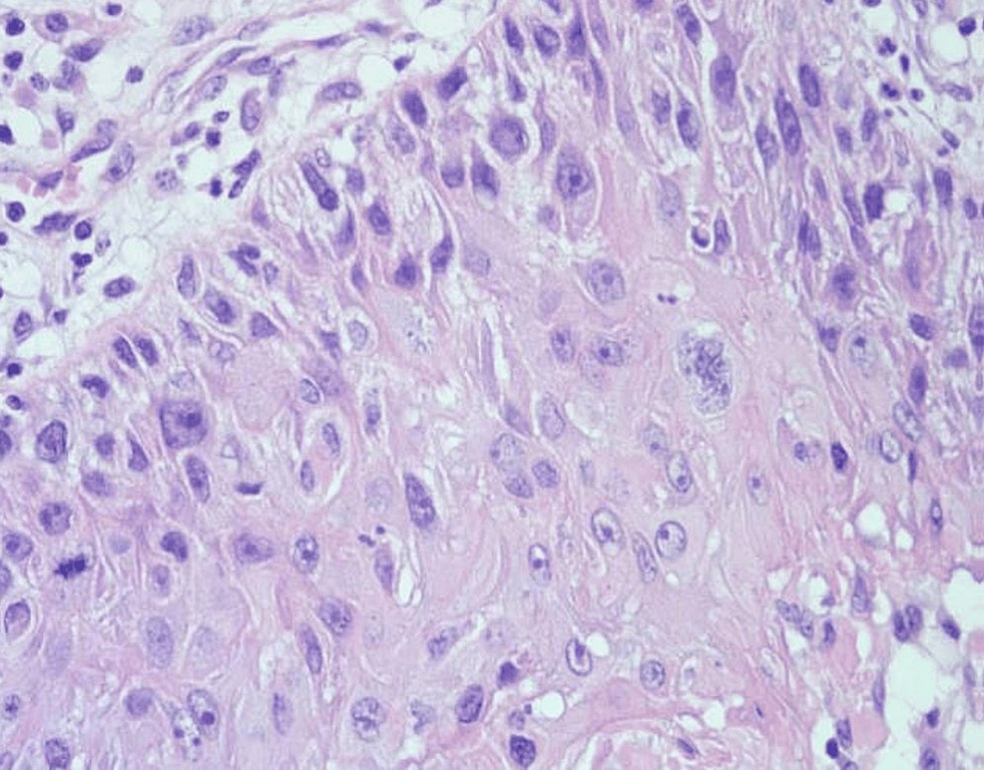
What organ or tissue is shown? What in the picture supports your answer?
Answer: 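Squamous epithelium. Sheet of polygonal cells with abundant pink cytoplasm packed closely together. Loose stroma with scattered small dark cells lies at the upper left edge of the cell sheet.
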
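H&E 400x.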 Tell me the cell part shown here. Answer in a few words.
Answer: prominent nucleoli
